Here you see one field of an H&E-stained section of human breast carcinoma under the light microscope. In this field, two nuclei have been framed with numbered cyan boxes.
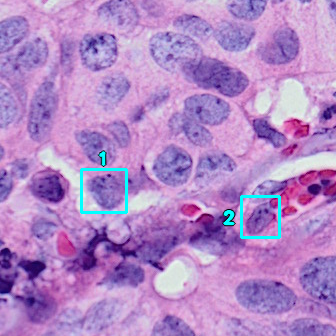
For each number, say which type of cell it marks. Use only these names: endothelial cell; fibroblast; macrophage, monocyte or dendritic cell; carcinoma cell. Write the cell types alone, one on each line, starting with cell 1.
carcinoma cell
endothelial cell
